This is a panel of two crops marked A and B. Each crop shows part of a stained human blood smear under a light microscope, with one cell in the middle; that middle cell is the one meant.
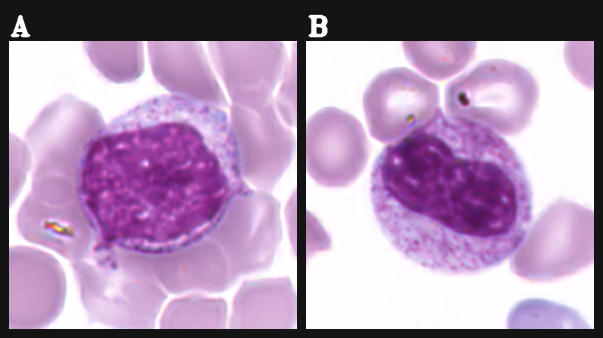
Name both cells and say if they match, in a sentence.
No, the assignment should read crop A, a myelocyte; crop B, a metamyelocyte.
